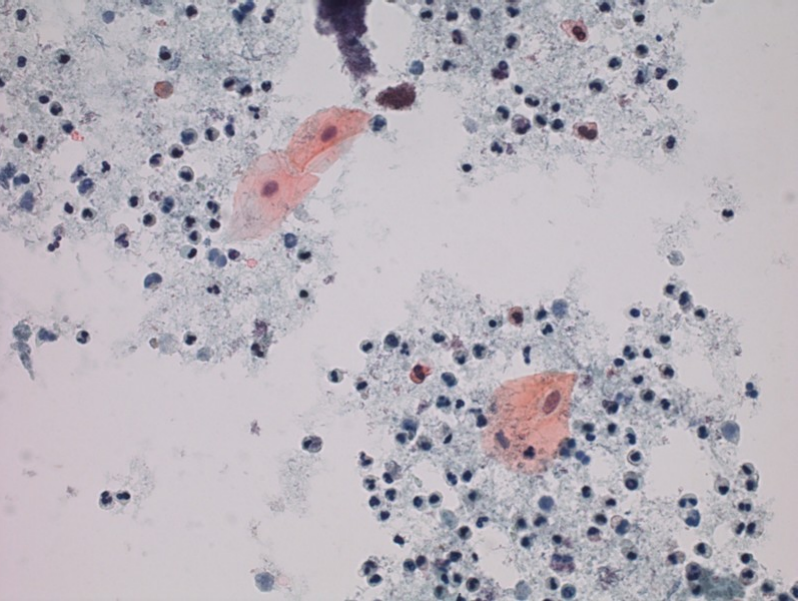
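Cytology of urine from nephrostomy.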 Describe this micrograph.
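Three large benign squamous cells lie among many small inflammatory cells. The small round inflammatory cells with dark nuclei are scattered in a pale blue-grey granular background of inflammatory debris.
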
